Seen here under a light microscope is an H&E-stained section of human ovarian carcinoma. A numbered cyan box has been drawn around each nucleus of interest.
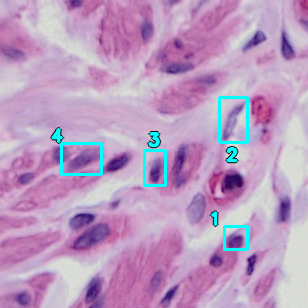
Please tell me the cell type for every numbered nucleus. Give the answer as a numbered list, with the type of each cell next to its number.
1. smooth muscle cell
2. endothelial cell
3. smooth muscle cell
4. smooth muscle cell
